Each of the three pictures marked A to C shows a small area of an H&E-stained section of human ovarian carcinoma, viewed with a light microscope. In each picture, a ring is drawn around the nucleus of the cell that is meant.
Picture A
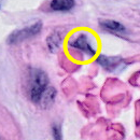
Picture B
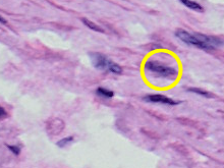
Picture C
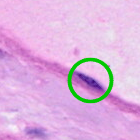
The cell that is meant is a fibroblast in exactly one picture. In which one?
B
